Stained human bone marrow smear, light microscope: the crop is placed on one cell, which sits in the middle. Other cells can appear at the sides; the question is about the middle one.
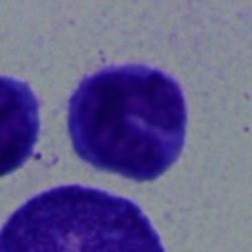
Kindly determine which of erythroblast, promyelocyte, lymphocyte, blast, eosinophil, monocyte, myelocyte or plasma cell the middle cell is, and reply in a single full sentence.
The crop centres on a single cell, and that cell is a monocyte.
